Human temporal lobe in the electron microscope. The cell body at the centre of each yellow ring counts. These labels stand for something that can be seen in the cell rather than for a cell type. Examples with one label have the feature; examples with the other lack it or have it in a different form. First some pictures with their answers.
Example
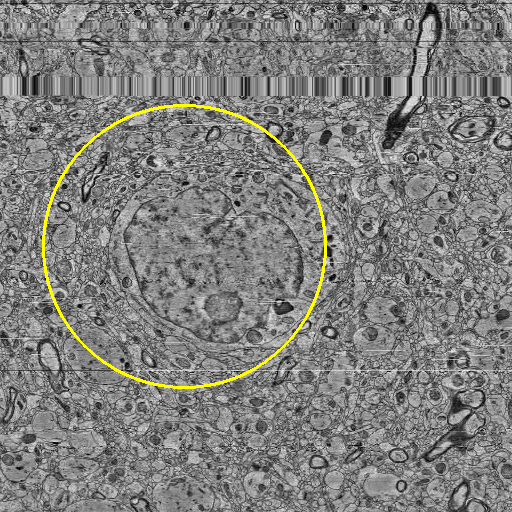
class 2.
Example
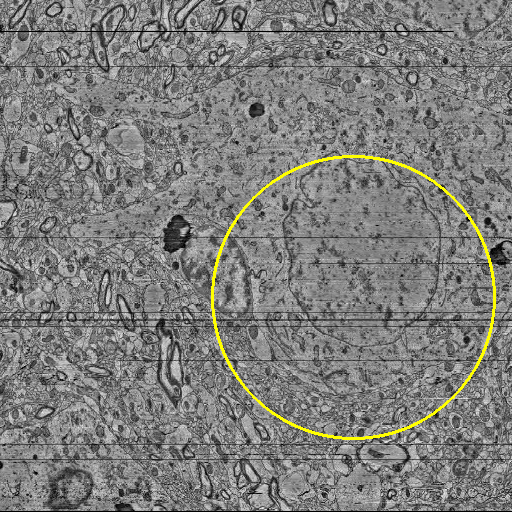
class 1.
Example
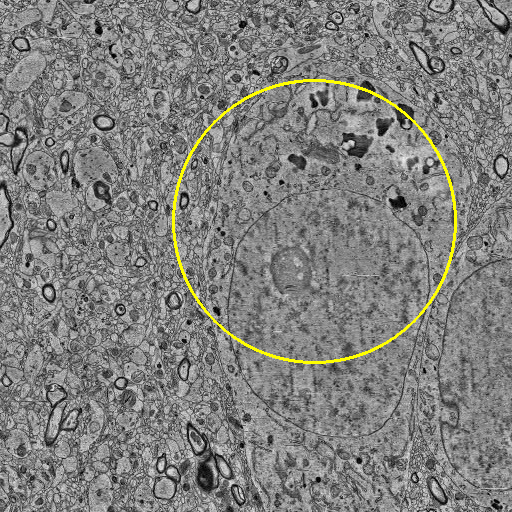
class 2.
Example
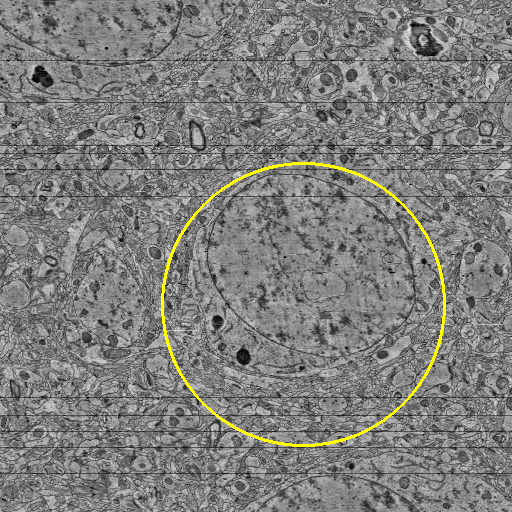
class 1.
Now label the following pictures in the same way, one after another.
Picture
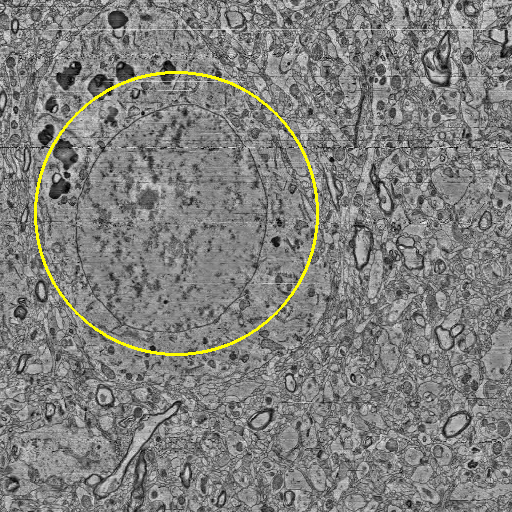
class 2.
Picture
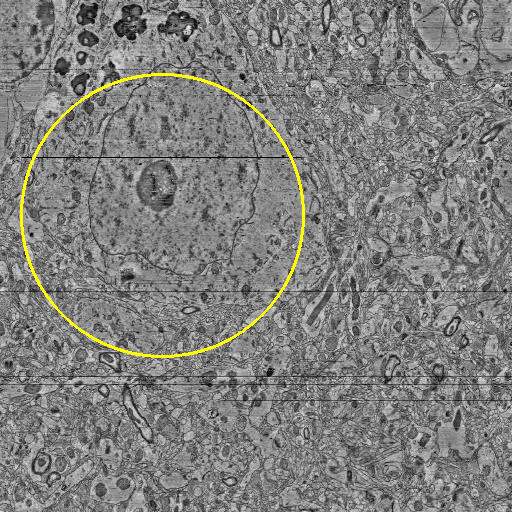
class 2.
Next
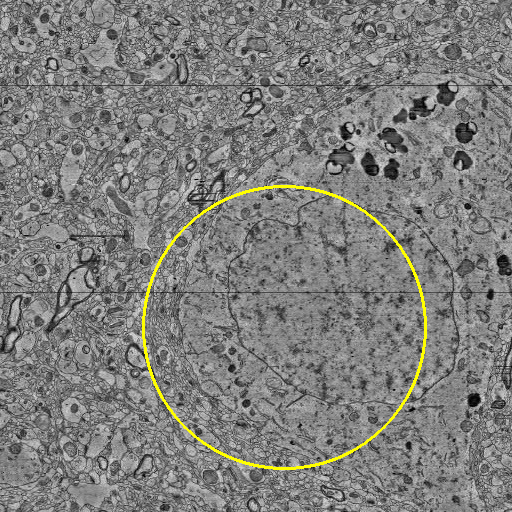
class 1.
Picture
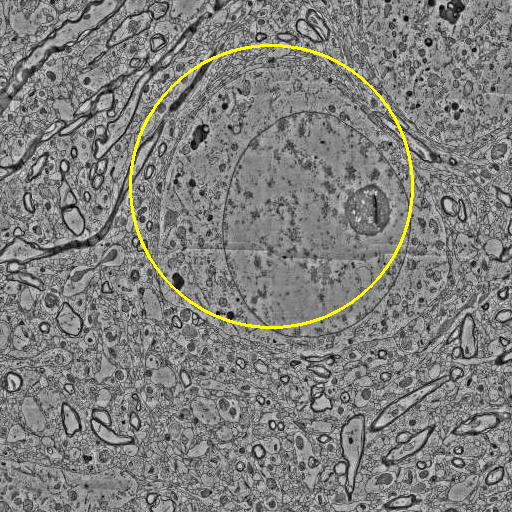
class 2.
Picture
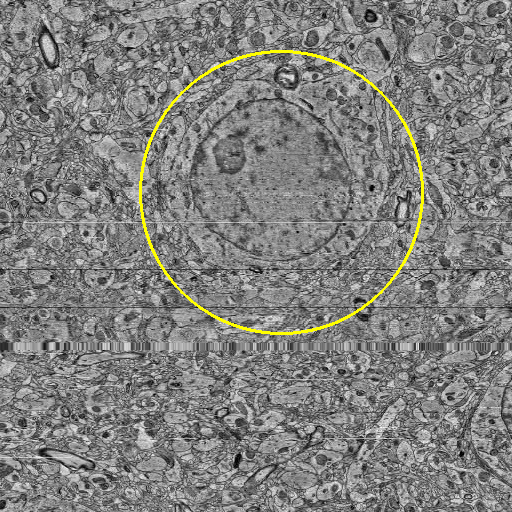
class 2.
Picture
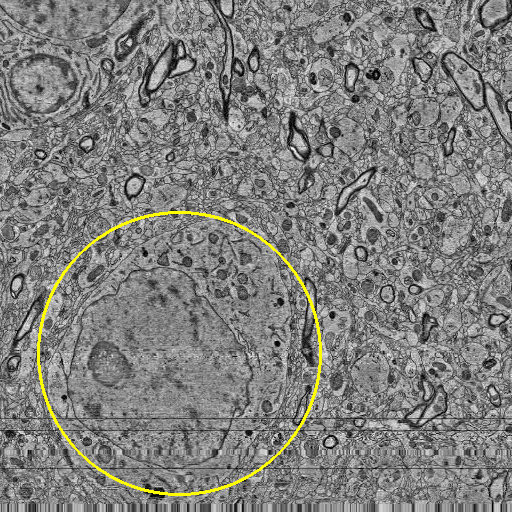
class 2.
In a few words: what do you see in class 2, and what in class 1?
class 2, nucleolus seen; class 1, no nucleolus seen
